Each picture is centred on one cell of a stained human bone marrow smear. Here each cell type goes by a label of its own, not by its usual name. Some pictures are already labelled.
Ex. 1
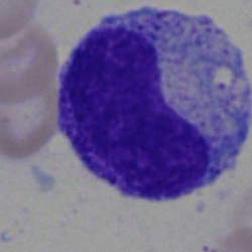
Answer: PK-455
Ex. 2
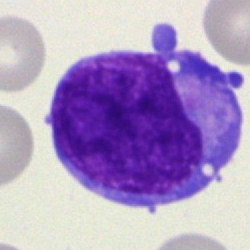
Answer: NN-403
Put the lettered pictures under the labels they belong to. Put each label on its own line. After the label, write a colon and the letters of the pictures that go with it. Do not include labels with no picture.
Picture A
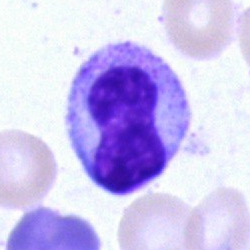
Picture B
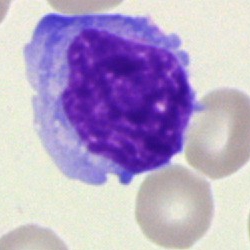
PK-455: A
NN-403: B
